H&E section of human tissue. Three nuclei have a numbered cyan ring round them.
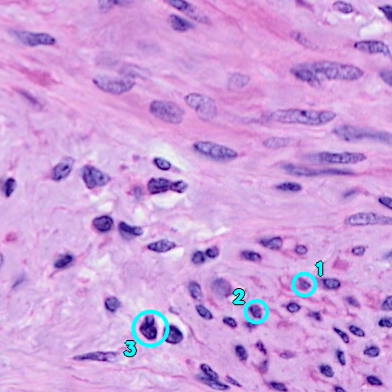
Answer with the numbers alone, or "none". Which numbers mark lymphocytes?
3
